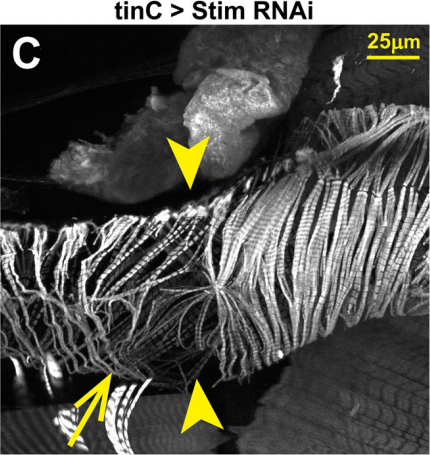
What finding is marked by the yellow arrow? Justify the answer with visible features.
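Disorganized myofibrils. At the arrow the striated fibres are sparse, crossing and irregularly spaced instead of lying parallel.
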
